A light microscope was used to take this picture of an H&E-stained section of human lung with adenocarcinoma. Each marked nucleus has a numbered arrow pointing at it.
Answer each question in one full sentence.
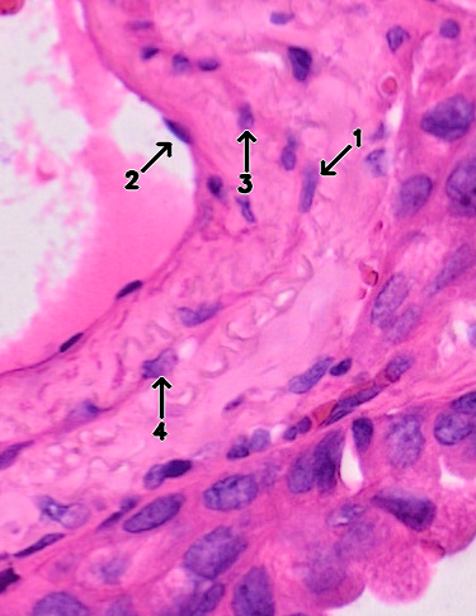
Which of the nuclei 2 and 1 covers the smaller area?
Nucleus 2 is the smaller one; nucleus 1 covers about 2 times its area.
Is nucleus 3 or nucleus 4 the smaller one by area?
Nucleus 3 is the smaller one; nucleus 4 covers about 2 times its area.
